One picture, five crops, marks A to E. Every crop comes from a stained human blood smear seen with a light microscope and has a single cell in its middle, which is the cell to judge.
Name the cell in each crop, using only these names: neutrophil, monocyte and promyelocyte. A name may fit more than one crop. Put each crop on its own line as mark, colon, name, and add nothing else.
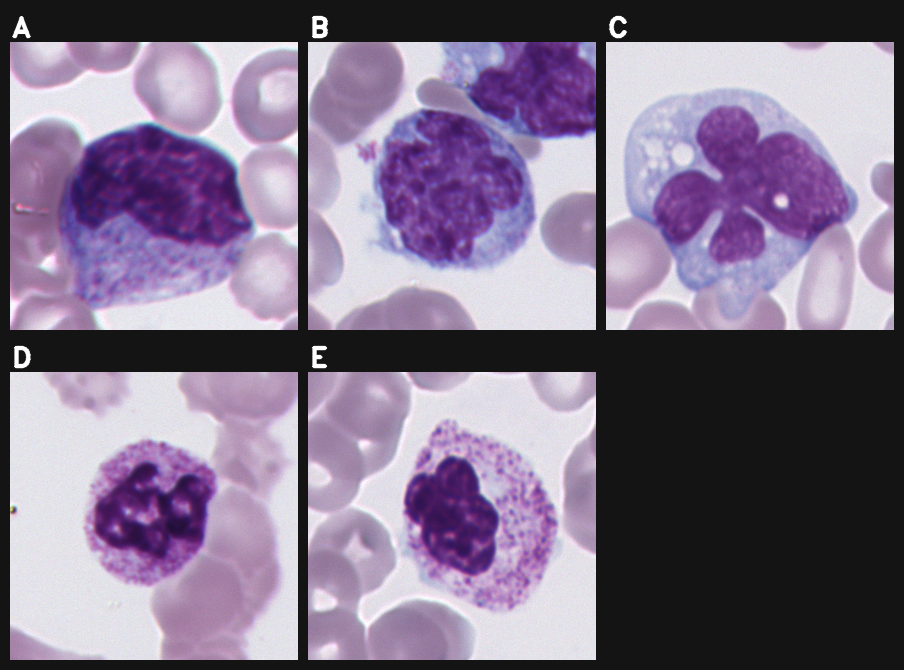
A: promyelocyte
B: monocyte
C: monocyte
D: neutrophil
E: neutrophil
